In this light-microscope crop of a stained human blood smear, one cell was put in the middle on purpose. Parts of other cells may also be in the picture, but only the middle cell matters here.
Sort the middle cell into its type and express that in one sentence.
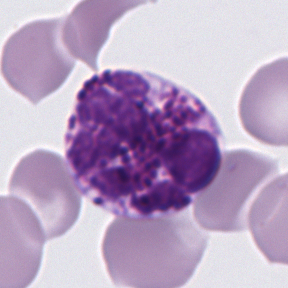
In the middle of this smear crop is a basophil.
